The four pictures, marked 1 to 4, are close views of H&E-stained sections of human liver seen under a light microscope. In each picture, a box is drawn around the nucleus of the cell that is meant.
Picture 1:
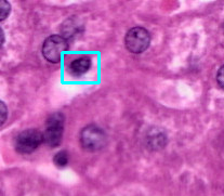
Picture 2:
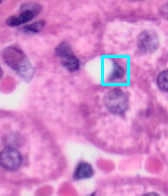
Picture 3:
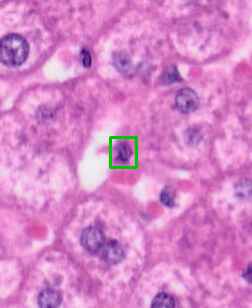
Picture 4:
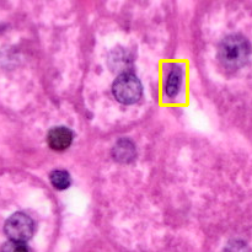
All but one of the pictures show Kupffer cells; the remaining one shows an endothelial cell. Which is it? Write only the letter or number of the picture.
2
